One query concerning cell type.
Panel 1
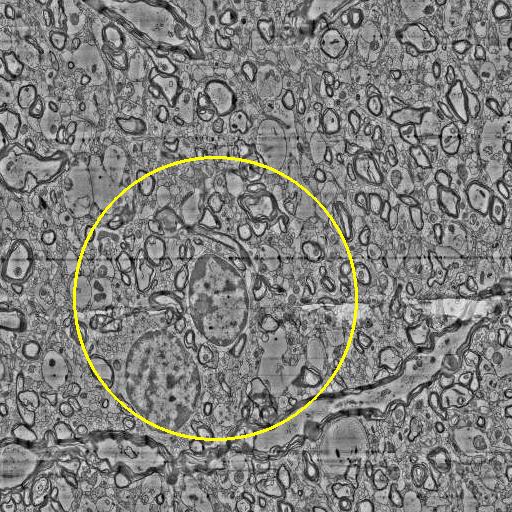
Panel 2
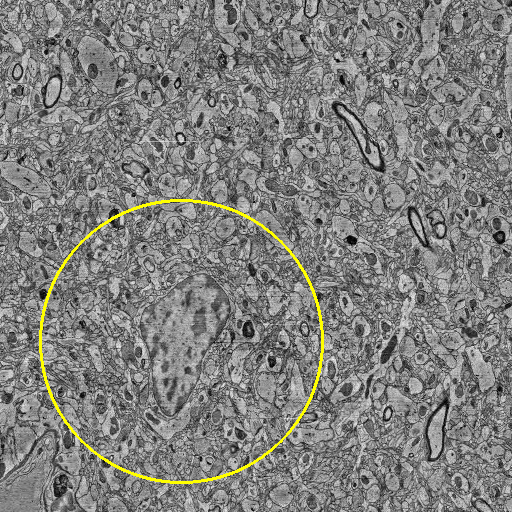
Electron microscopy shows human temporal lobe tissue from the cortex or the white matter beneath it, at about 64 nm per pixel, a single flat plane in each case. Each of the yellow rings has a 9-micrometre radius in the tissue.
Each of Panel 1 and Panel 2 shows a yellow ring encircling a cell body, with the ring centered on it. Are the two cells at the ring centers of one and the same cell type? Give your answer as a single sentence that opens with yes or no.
Yes, the cell centered in Panel 1 and the one in Panel 2 share a type.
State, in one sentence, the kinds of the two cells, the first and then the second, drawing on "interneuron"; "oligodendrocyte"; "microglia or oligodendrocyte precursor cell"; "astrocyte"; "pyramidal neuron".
In each of the two pictures, the ringed cell is a microglial cell or oligodendrocyte precursor cell.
